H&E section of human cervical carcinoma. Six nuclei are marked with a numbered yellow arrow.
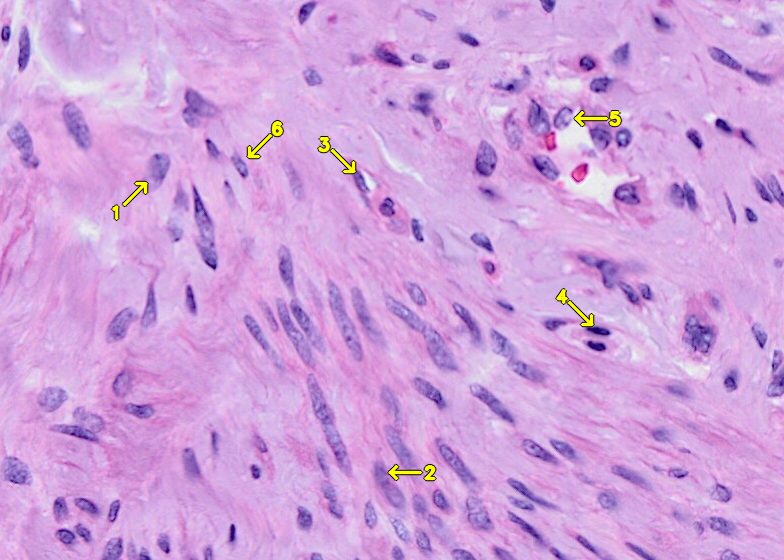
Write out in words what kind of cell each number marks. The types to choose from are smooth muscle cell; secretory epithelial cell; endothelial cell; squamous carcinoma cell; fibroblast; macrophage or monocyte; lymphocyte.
Cell 1 is a fibroblast. Cells 2 and 6 are smooth muscle cells. Cells 3 and 5 are endothelial cells. Cell 4 is a lymphocyte.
